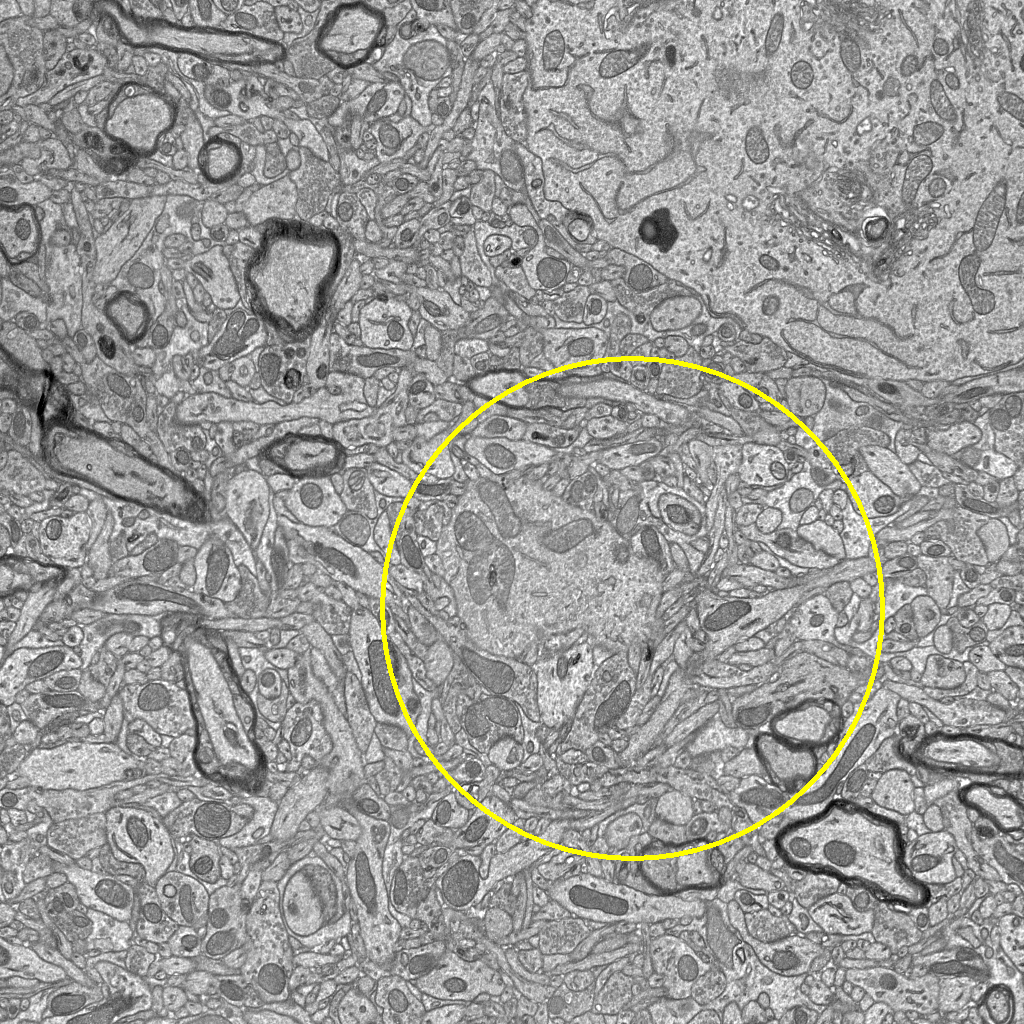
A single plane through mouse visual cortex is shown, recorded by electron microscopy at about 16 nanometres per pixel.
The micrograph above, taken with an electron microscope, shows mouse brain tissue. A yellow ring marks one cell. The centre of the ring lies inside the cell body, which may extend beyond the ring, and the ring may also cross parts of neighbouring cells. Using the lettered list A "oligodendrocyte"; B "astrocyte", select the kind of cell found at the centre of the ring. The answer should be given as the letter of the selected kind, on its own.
A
